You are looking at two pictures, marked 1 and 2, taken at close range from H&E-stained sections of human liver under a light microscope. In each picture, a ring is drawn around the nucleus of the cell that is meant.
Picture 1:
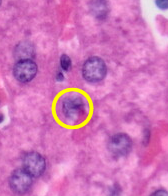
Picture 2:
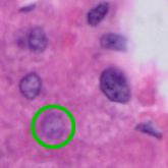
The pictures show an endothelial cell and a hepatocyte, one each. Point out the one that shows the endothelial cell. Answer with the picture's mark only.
1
